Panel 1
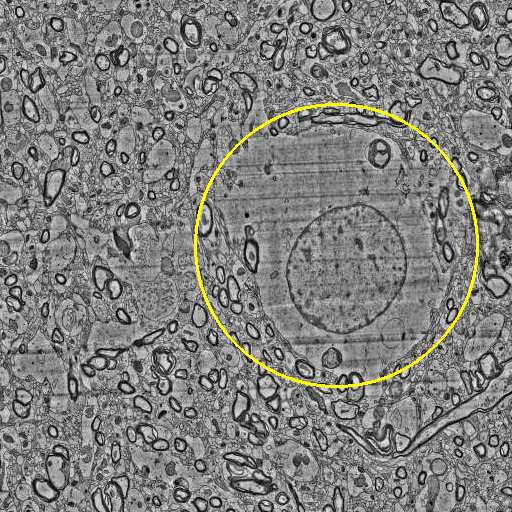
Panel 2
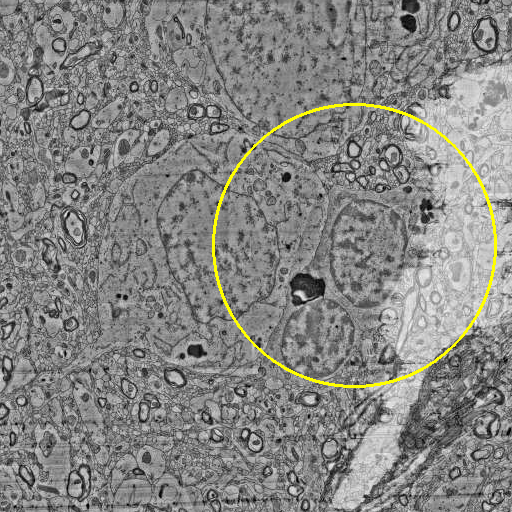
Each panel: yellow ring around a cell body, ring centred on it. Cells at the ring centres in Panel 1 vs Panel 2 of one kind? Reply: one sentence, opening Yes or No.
No, Panel 1 and Panel 2 have cells of two kinds at the ring centres.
